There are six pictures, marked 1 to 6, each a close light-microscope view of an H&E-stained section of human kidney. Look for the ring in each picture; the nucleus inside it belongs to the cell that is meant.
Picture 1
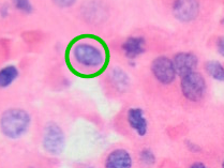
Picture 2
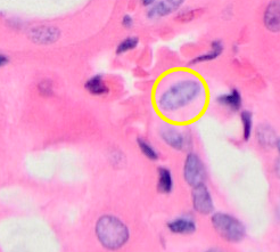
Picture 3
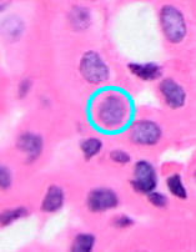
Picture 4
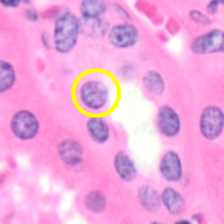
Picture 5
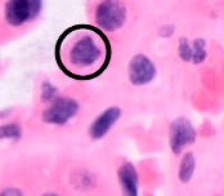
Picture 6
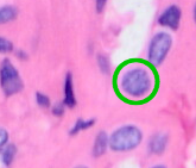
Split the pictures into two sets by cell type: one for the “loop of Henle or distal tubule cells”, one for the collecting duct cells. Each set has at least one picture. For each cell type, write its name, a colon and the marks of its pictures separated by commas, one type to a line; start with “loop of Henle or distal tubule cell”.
loop of Henle or distal tubule cell: 1, 3, 5
collecting duct cell: 2, 4, 6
